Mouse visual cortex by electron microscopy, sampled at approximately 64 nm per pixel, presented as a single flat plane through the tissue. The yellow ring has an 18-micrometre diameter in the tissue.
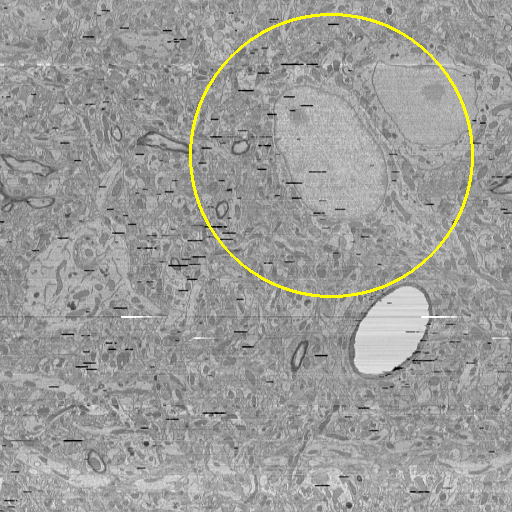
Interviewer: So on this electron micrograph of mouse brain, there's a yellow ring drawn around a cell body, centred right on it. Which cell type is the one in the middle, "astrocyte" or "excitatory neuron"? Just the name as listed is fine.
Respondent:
astrocyte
